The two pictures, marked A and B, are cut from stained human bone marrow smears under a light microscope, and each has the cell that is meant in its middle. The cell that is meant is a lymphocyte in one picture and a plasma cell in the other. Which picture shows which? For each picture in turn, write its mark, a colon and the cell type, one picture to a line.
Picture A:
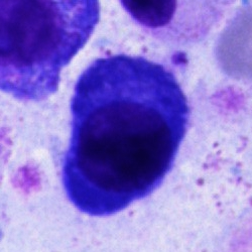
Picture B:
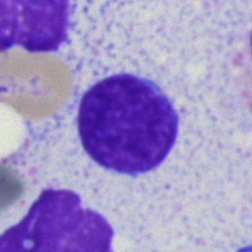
A: plasma cell
B: lymphocyte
